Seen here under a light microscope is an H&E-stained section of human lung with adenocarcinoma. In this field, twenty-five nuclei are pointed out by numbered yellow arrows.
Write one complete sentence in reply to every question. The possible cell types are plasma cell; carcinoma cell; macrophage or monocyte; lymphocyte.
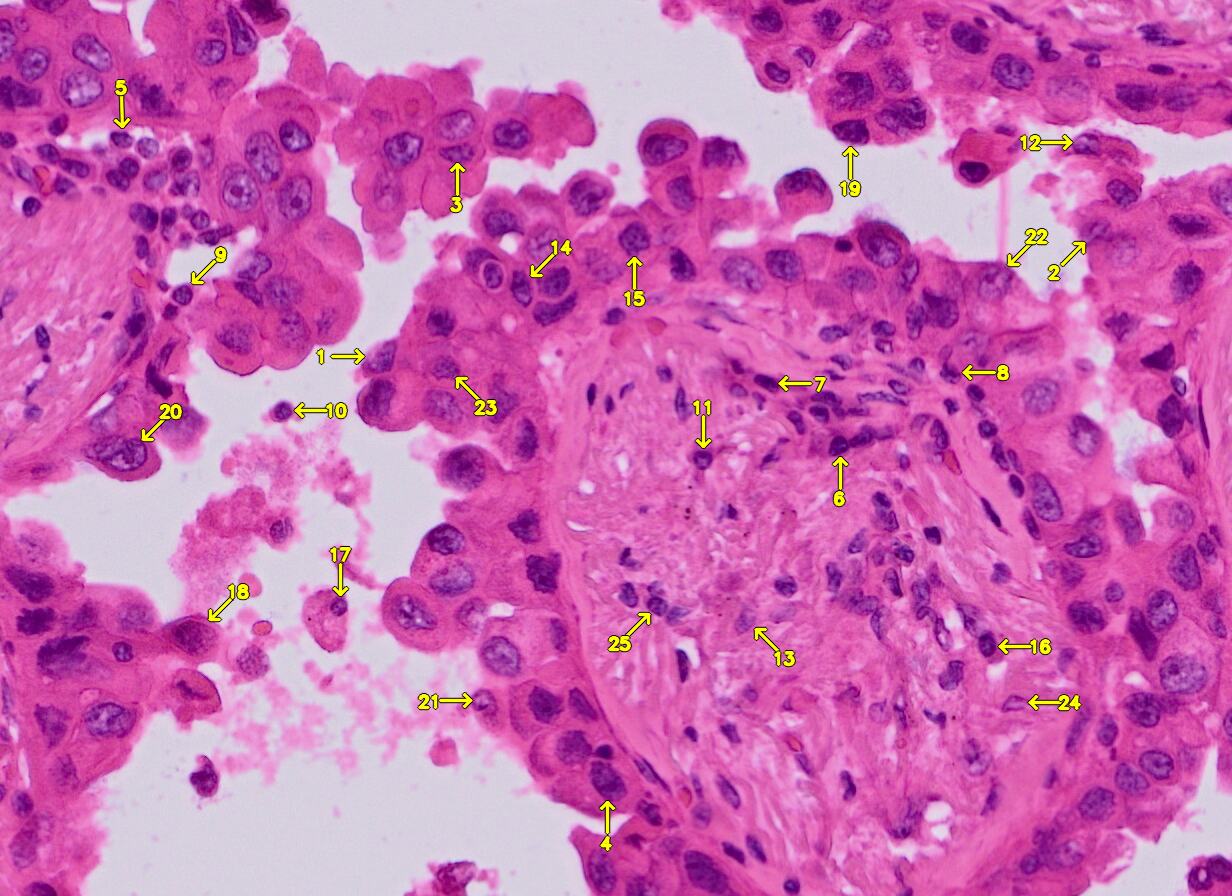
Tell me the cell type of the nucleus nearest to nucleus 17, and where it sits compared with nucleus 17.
The closest nucleus belongs to a carcinoma cell and sits to the right of nucleus 17.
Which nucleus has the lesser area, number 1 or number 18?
The smaller nucleus is 1, and 18 covers roughly 2 times its area.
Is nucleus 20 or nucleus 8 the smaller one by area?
Nucleus 8 covers less area, with nucleus 20 about 3 times as large.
